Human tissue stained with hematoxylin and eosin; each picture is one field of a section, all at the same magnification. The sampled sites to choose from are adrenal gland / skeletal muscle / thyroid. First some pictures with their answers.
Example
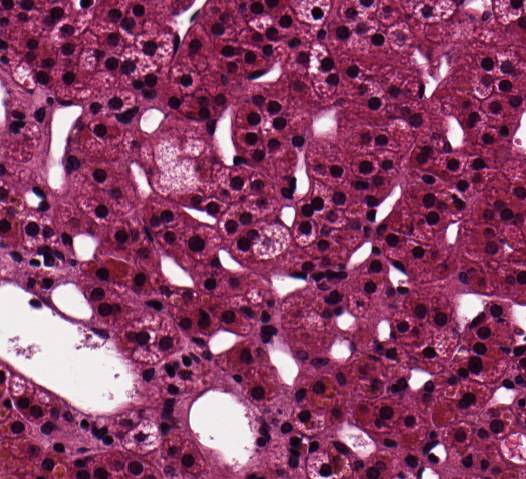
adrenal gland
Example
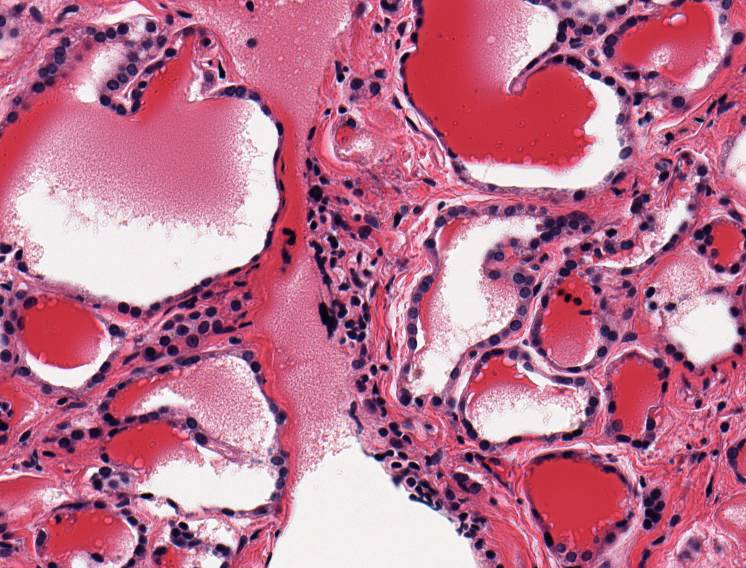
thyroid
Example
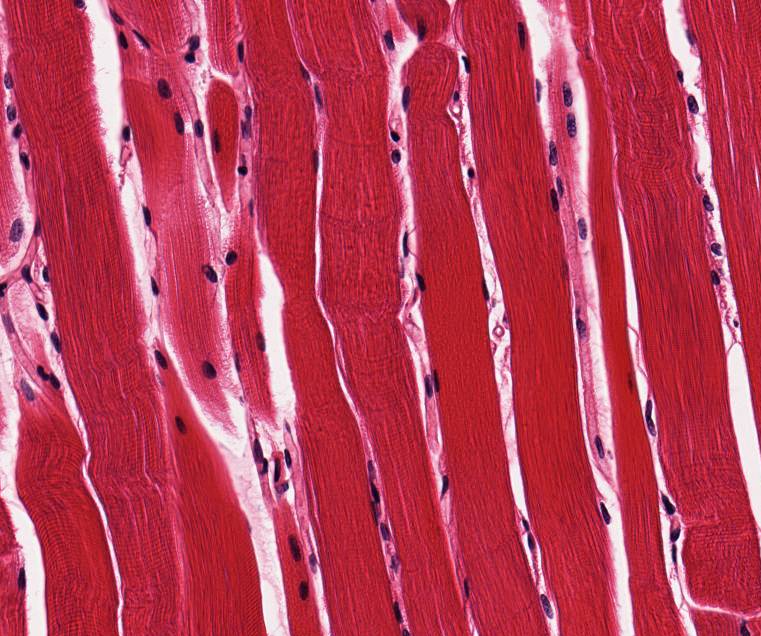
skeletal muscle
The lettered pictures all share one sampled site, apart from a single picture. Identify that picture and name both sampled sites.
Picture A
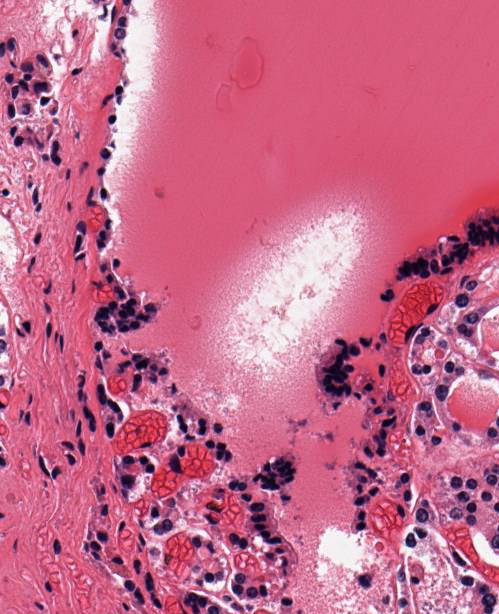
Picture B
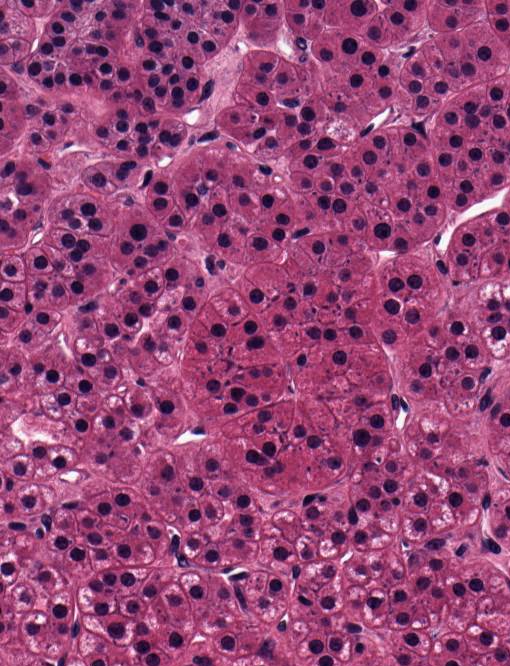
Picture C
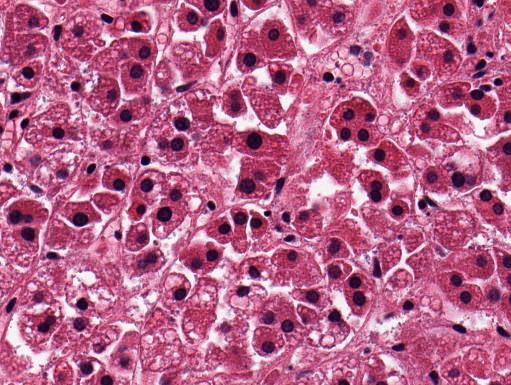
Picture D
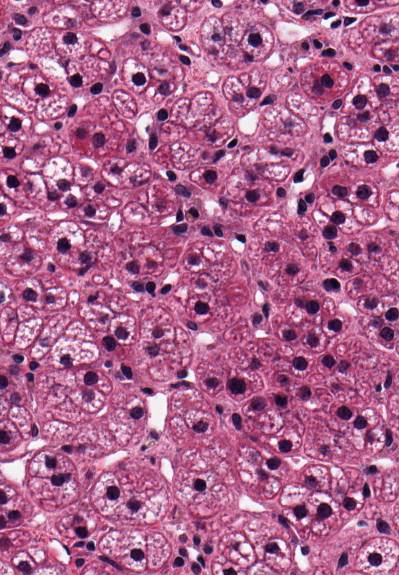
Picture A: thyroid. All others: adrenal gland.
